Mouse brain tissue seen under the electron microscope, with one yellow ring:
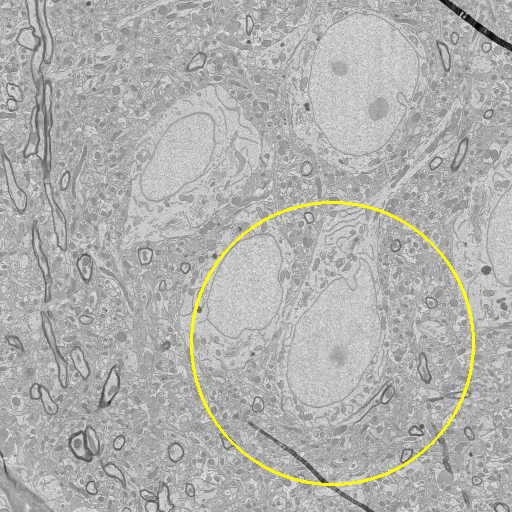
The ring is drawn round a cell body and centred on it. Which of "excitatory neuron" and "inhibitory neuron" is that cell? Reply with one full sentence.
The picture shows an inhibitory neuron at the very centre of the yellow ring.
